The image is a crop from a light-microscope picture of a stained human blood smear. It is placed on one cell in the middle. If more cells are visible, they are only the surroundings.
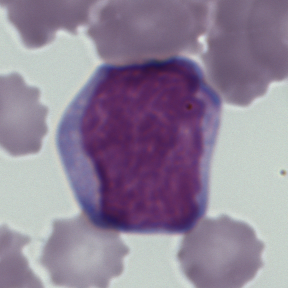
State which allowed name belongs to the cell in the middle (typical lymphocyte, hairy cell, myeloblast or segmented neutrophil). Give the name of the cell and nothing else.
myeloblast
